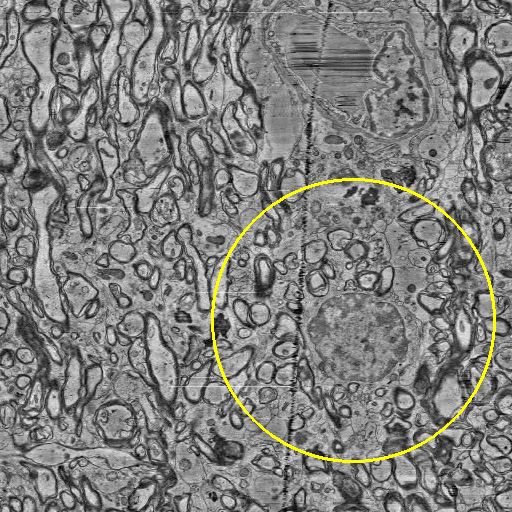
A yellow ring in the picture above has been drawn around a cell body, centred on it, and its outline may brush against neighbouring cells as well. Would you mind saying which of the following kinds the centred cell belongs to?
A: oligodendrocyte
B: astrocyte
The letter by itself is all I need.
A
